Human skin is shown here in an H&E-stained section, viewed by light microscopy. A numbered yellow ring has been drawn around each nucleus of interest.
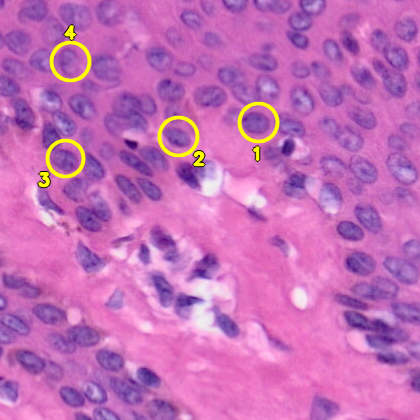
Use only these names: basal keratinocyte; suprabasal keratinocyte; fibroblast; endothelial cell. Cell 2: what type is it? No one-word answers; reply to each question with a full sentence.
Cell 2, as marked in the section, is a basal keratinocyte.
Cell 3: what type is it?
The cell whose nucleus carries the number 3 is a basal keratinocyte.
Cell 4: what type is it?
In this section, number 4 marks a suprabasal keratinocyte.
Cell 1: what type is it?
It is as a basal keratinocyte that the cell numbered 1 is identified.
